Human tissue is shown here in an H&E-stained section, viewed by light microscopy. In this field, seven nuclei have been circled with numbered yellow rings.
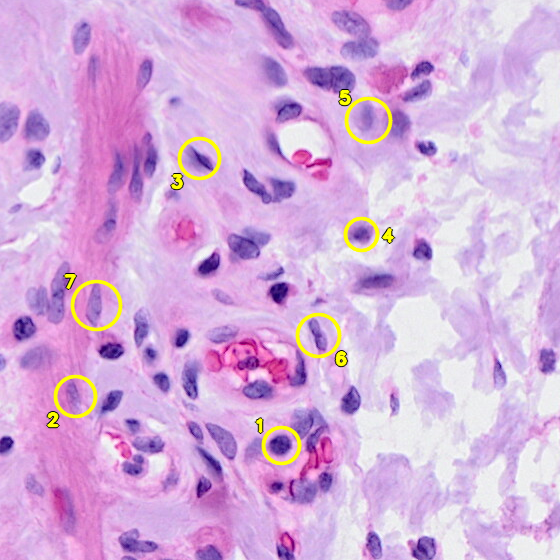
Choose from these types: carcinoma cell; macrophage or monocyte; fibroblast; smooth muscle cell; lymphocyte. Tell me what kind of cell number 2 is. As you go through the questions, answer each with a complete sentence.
The cell given label 2 is a smooth muscle cell.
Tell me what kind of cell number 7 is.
Belonging to a smooth muscle cell is the nucleus that carries the number 7.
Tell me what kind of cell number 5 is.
The cell numbered 5 has been identified as a fibroblast.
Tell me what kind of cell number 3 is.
The cell referred to as 3 is a fibroblast.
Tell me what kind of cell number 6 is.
To a fibroblast belongs the nucleus marked 6.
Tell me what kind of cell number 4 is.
The cell pointed out as number 4 is a macrophage or monocyte.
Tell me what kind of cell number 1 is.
The cell assigned the number 1 is a lymphocyte.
